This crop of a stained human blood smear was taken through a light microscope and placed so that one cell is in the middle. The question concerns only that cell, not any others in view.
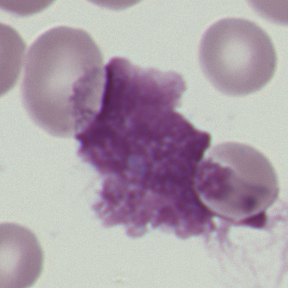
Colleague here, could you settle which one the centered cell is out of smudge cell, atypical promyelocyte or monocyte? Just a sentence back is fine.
The cell at the central position in this crop is a smudge cell.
